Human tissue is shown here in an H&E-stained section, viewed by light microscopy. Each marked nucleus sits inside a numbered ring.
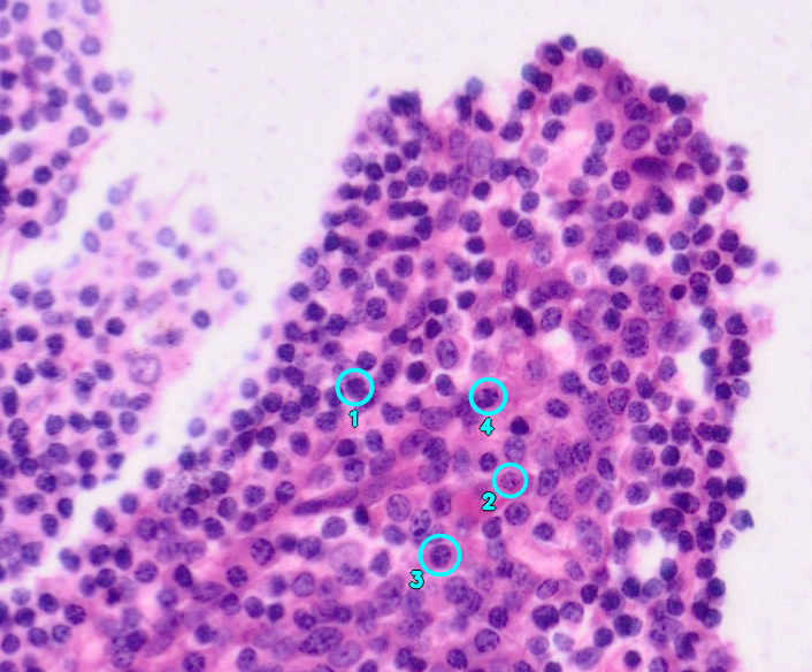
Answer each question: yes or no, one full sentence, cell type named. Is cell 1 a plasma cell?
No, number 1 belongs to a small lymphocyte, not to a plasma cell.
